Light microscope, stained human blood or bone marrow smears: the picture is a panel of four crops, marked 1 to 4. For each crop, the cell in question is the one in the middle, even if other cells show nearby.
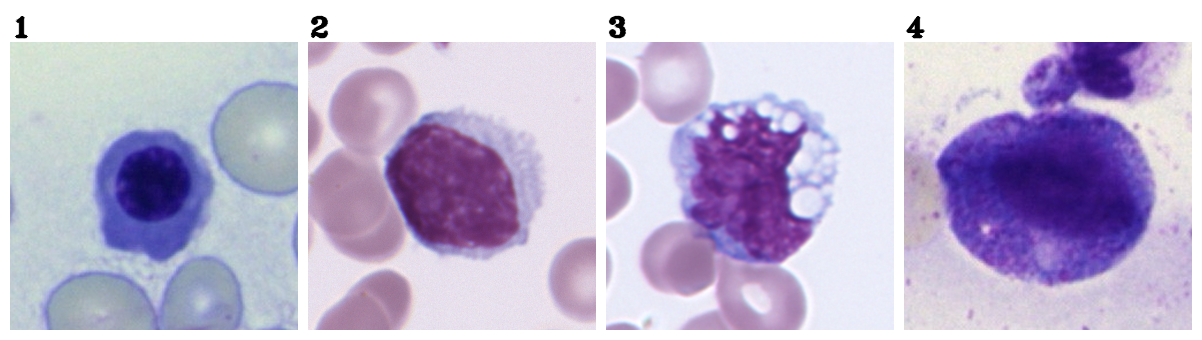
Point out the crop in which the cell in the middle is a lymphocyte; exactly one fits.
2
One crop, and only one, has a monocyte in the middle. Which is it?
3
